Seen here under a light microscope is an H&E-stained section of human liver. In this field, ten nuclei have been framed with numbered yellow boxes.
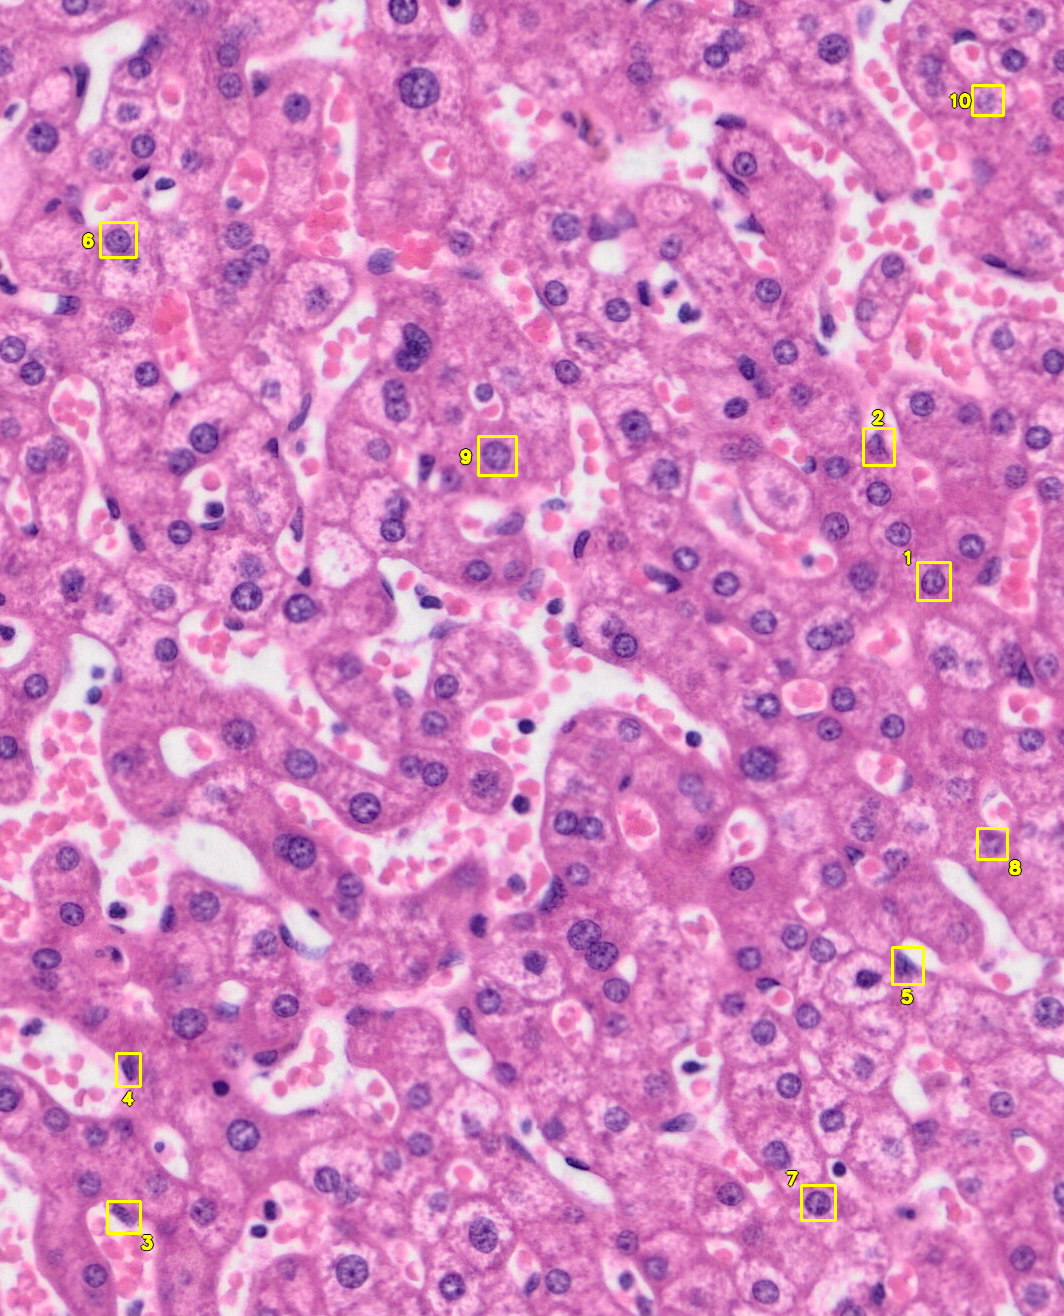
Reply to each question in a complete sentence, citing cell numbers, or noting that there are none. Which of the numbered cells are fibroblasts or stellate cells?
Only one of the numbered nuclei, number 4, belongs to a fibroblast or stellate cell.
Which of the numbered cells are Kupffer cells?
The cells the numbers 2 and 3 point to are Kupffer cells.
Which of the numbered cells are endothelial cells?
Among all the marked cells, an endothelial cell is found only at number 5.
